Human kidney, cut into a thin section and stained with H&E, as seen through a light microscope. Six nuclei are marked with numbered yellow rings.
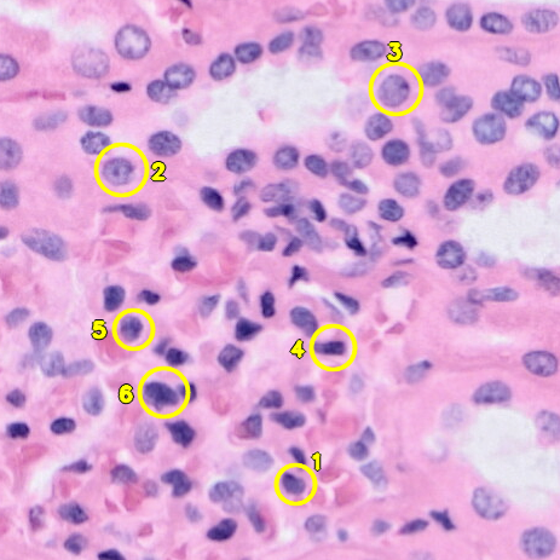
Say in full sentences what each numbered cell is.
Cell 1 is an endothelial cell, cell 2 is a loop of Henle or distal tubule cell, cell 3 is a loop of Henle or distal tubule cell, cell 4 is an endothelial cell, cell 5 is an endothelial cell and cell 6 is an endothelial cell.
